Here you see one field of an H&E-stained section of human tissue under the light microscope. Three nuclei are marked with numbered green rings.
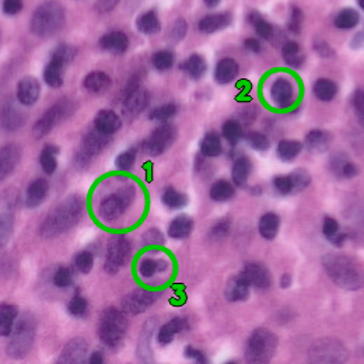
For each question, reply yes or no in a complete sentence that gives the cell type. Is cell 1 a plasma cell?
No, number 1 identifies a squamous epithelial cell, not a plasma cell.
